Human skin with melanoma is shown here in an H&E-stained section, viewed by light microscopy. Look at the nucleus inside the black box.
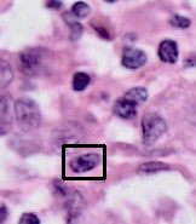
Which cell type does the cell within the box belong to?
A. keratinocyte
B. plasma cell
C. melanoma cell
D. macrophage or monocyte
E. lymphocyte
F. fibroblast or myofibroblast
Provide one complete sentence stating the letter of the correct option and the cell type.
Here the cell within the box is a lymphocyte; pick option E.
